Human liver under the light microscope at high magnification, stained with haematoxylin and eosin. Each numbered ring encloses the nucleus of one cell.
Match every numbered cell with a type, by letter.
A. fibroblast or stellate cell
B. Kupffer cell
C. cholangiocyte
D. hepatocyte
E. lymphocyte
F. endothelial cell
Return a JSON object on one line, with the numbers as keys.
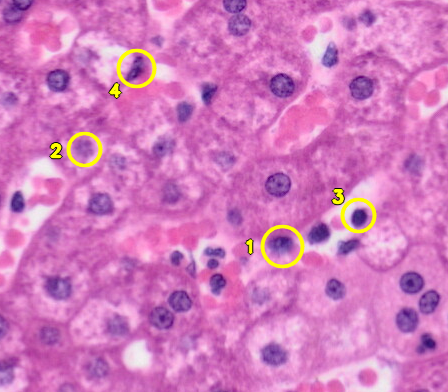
{"1": "A", "2": "D", "3": "E", "4": "F"}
